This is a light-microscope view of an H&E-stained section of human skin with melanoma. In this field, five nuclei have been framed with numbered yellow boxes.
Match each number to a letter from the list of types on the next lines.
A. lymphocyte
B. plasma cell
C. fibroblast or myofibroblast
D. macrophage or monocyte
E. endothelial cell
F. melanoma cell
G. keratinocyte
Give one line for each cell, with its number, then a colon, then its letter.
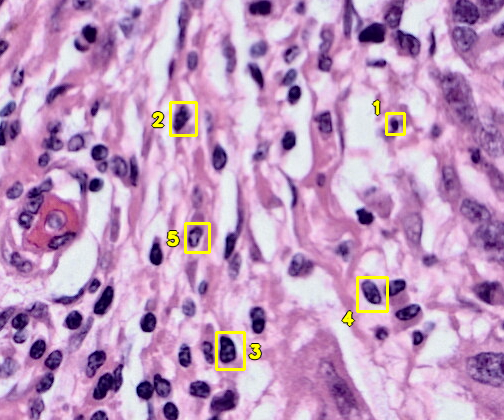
1: D
2: B
3: B
4: A
5: B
